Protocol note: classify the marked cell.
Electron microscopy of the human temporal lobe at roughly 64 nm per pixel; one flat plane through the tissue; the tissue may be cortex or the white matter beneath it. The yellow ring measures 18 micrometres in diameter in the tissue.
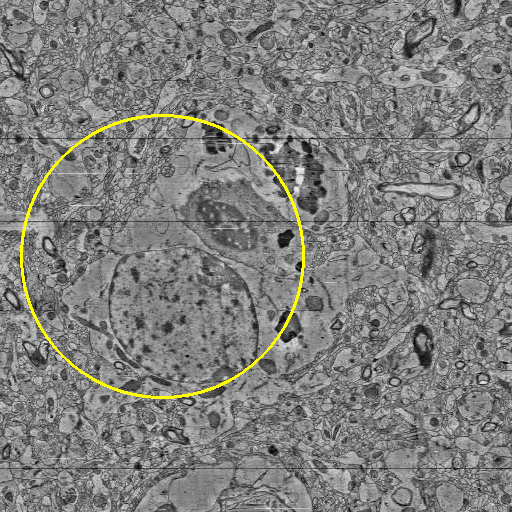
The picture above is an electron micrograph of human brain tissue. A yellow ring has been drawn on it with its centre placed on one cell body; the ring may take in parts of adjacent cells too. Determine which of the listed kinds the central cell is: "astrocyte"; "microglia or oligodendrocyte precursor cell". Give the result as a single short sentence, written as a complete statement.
The central cell is an astrocyte.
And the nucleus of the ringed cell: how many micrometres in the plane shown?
About 11 by 9 micrometers for the nucleus, in this plane.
